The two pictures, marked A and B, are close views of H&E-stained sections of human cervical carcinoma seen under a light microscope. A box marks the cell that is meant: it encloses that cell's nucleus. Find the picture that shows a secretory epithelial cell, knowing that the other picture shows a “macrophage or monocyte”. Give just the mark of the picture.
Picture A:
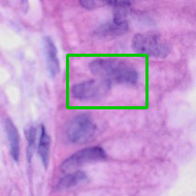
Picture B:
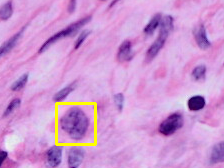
A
